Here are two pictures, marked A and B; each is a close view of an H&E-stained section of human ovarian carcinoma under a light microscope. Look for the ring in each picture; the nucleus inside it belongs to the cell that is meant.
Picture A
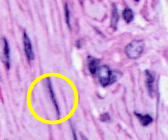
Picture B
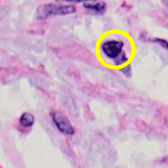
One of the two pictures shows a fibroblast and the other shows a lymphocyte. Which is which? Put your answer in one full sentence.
The cell in picture A is a fibroblast, and the one in picture B is a lymphocyte.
